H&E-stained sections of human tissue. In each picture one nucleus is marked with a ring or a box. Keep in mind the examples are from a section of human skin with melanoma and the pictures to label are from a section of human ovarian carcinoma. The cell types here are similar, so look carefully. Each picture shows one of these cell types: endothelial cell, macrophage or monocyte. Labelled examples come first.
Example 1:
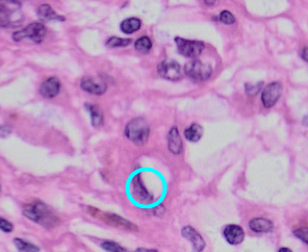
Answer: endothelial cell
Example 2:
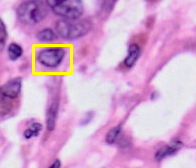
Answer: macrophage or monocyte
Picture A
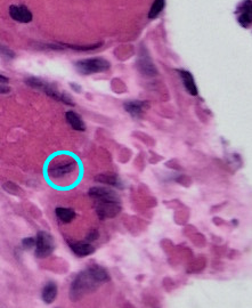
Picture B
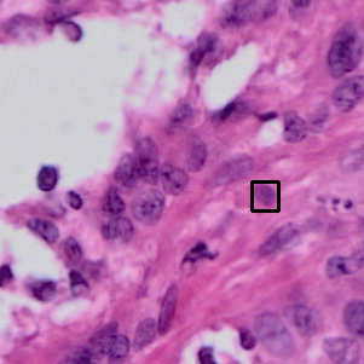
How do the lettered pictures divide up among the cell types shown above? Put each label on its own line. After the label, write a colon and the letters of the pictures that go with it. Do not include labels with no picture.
endothelial cell: A, B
